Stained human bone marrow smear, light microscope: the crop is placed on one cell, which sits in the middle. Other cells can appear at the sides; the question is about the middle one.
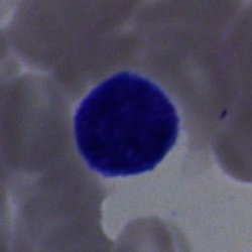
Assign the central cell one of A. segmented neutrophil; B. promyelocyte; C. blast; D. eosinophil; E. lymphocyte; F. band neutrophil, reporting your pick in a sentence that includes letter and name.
Here the central cell is a lymphocyte, and option E is correct.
